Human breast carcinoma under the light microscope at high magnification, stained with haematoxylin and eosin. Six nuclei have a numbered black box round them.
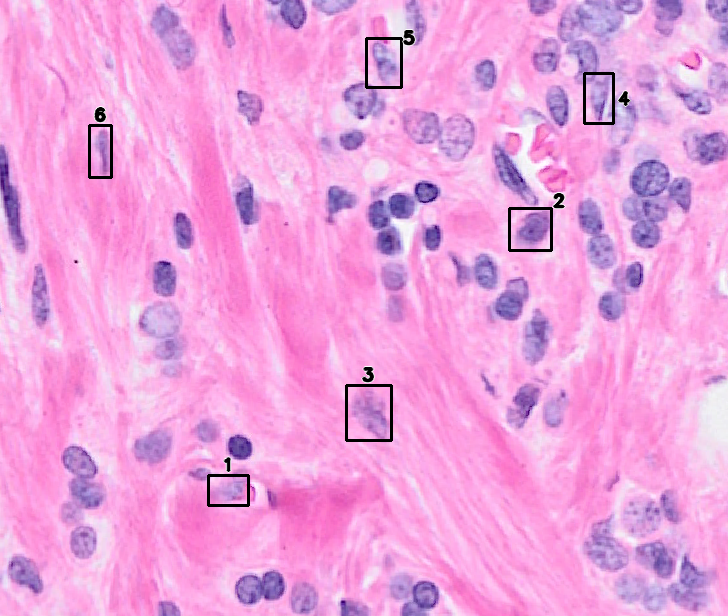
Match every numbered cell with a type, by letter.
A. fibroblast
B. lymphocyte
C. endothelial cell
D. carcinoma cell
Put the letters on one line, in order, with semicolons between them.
C; C; A; C; C; A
